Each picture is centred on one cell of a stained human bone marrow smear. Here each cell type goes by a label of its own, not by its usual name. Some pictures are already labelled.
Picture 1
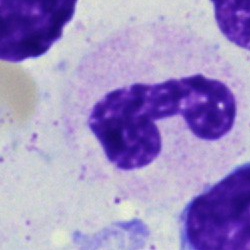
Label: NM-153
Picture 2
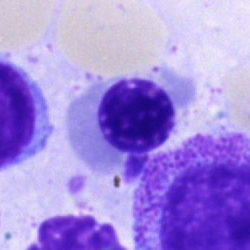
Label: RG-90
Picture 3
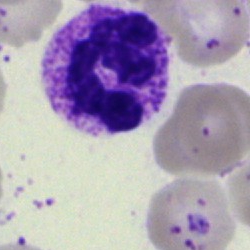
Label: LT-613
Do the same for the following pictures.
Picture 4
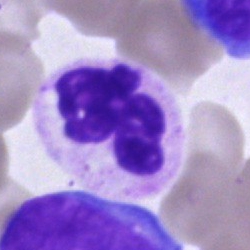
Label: LT-613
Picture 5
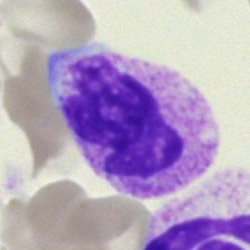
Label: LT-613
